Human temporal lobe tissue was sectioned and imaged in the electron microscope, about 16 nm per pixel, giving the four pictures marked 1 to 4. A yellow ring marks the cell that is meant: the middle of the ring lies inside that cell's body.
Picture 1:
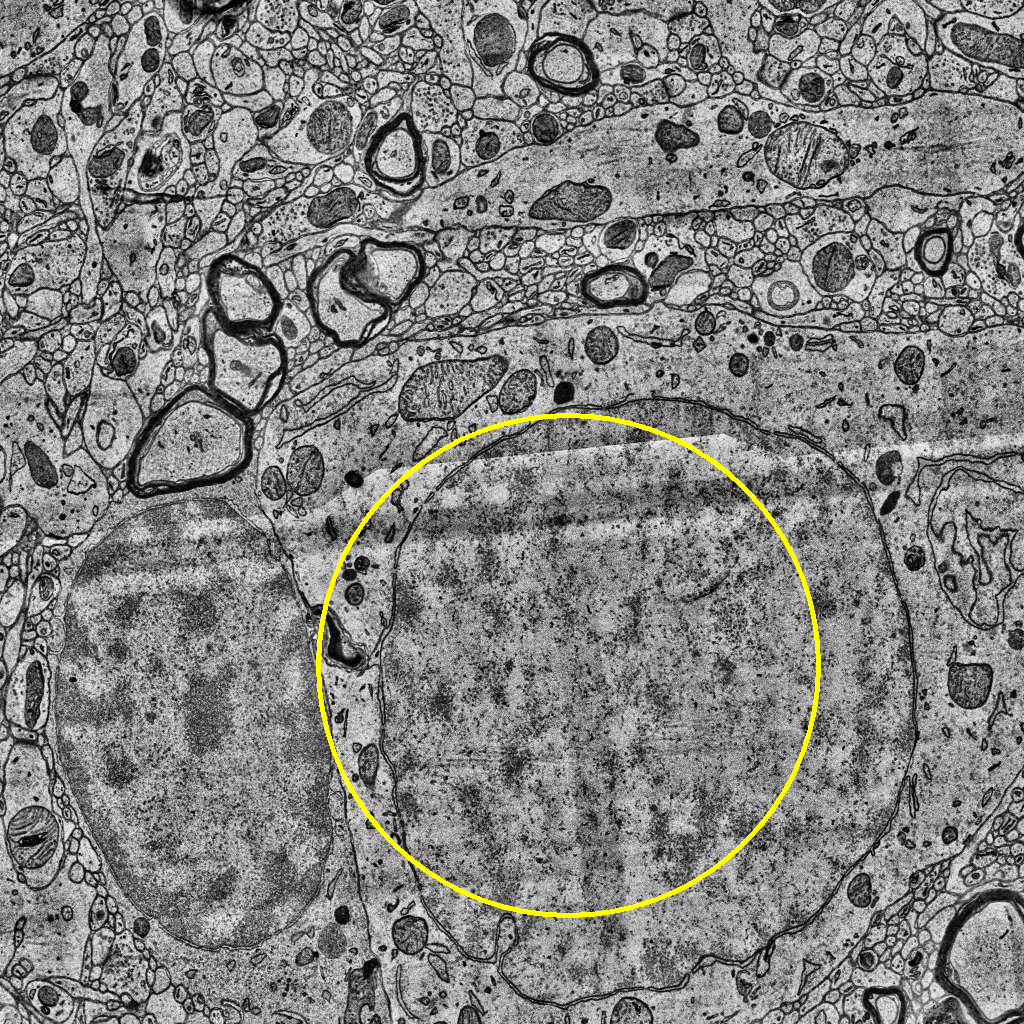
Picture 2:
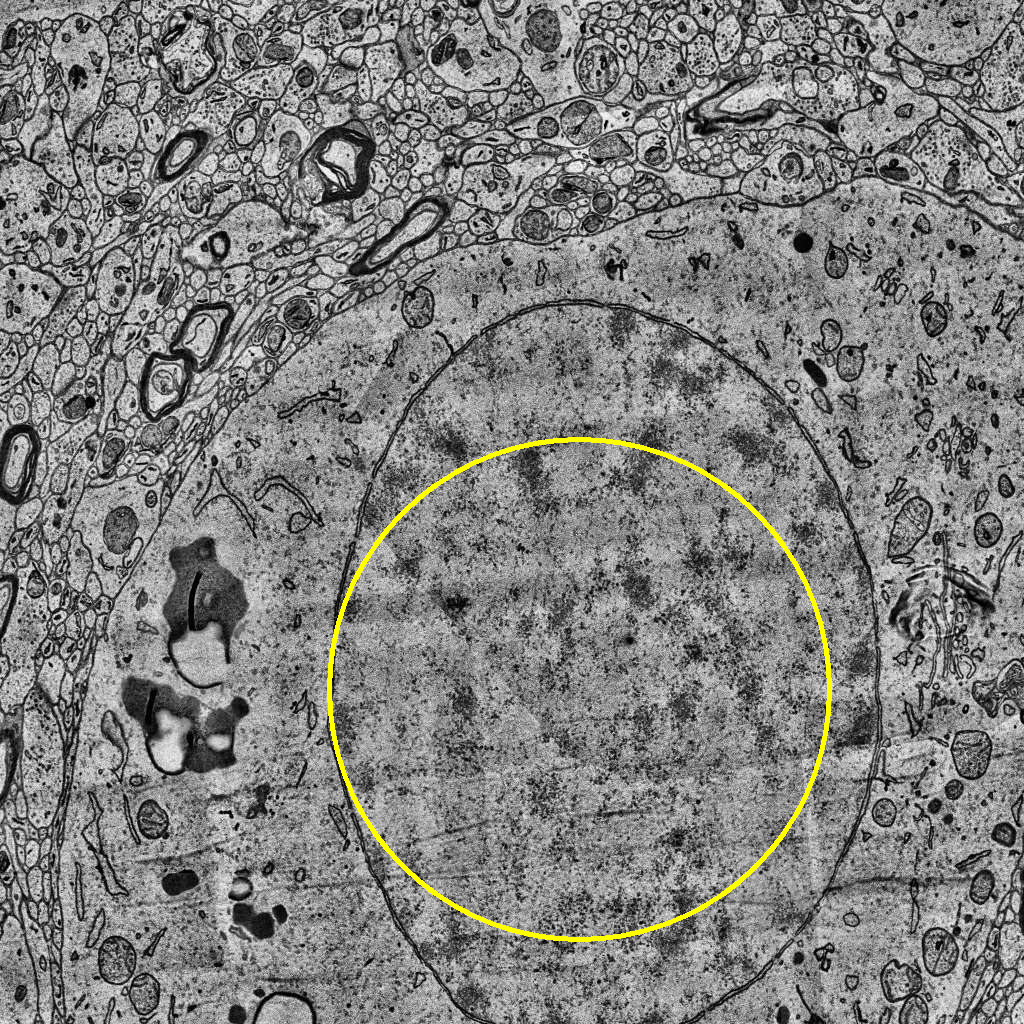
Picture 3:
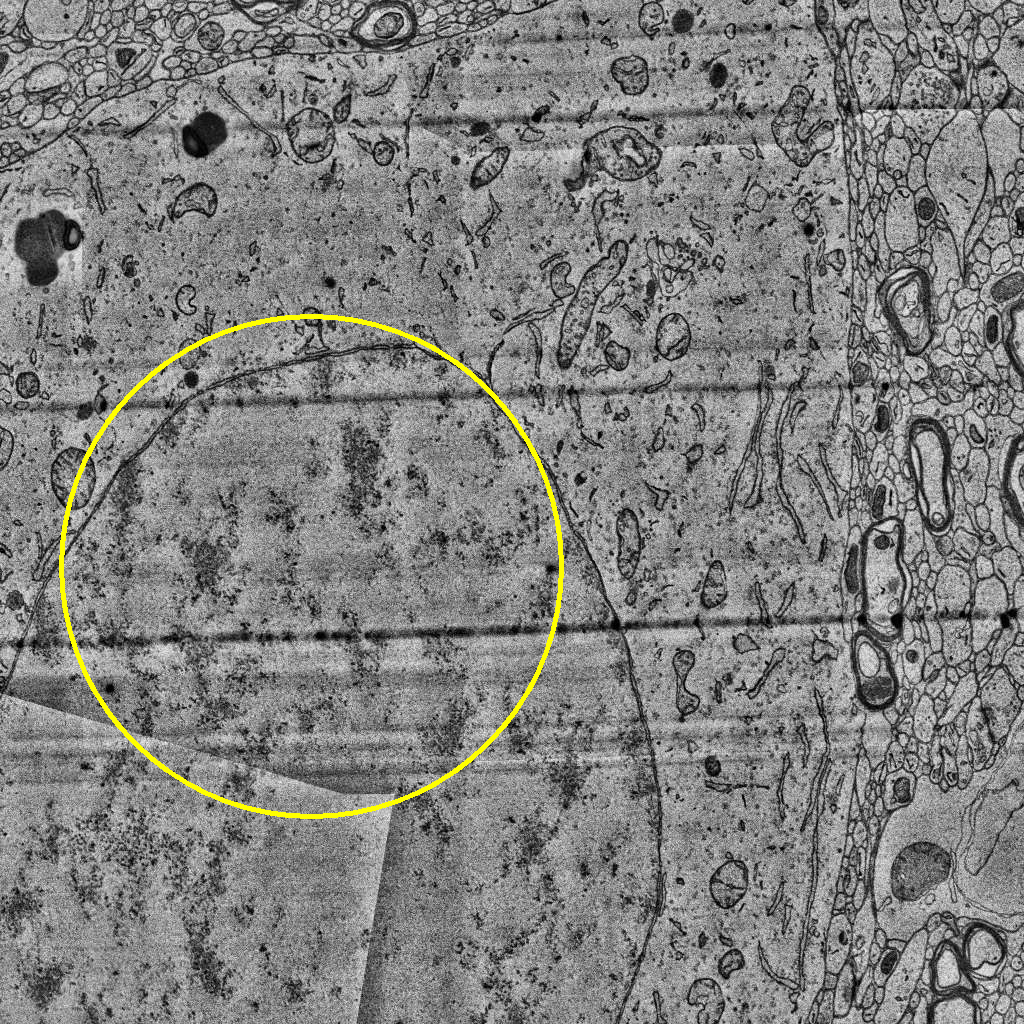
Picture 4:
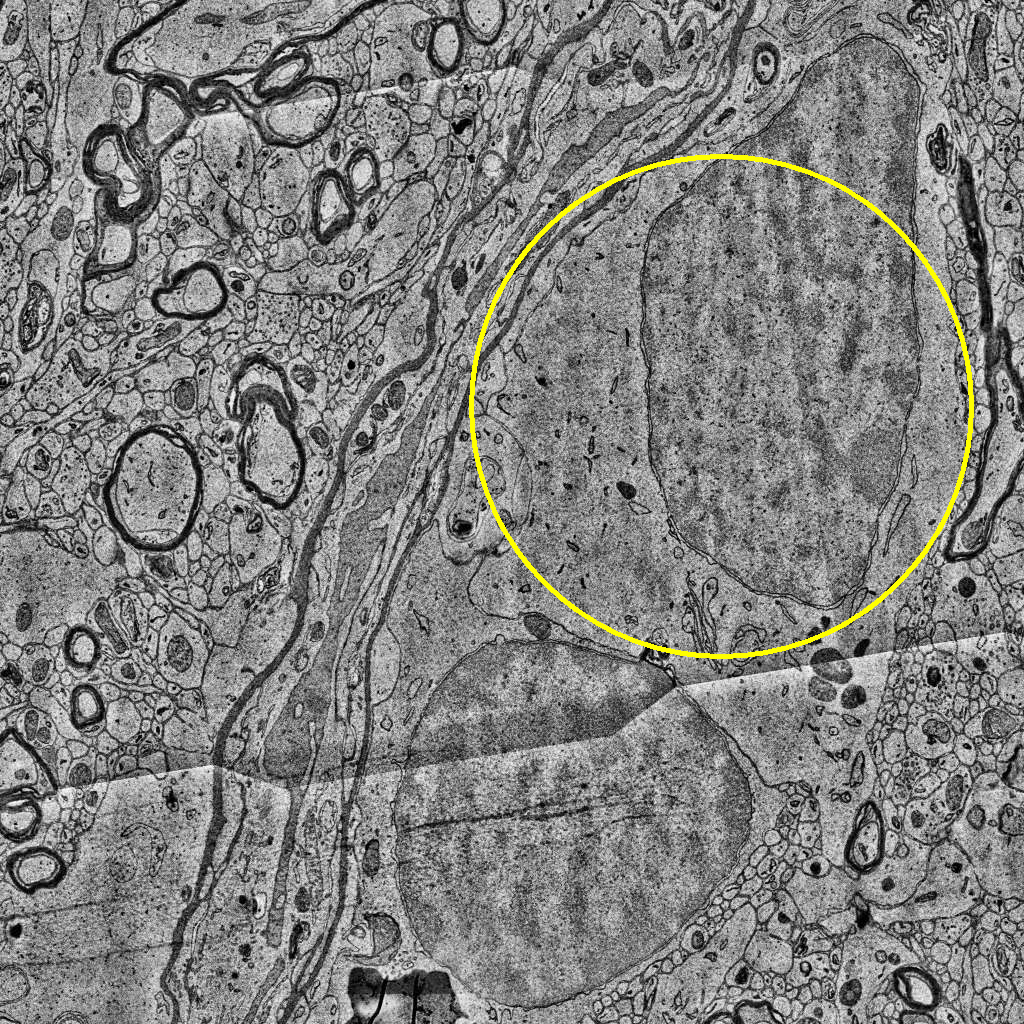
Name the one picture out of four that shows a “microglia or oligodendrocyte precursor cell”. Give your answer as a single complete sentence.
The cell in picture 4 is the “microglia or oligodendrocyte precursor cell”.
